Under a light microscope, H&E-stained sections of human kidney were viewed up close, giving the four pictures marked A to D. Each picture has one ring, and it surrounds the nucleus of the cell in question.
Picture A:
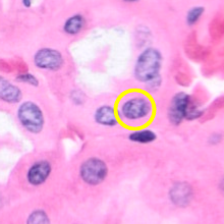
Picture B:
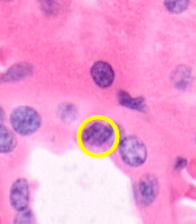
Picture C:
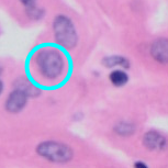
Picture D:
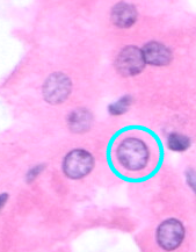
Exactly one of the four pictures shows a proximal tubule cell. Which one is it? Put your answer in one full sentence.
The cell in picture D is the proximal tubule cell.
